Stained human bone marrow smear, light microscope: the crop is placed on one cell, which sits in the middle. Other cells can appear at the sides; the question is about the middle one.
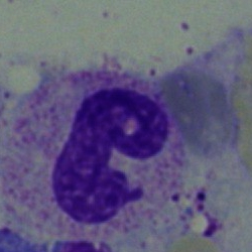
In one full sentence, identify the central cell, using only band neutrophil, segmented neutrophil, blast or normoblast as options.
On this slide crop, the central cell is a band neutrophil.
